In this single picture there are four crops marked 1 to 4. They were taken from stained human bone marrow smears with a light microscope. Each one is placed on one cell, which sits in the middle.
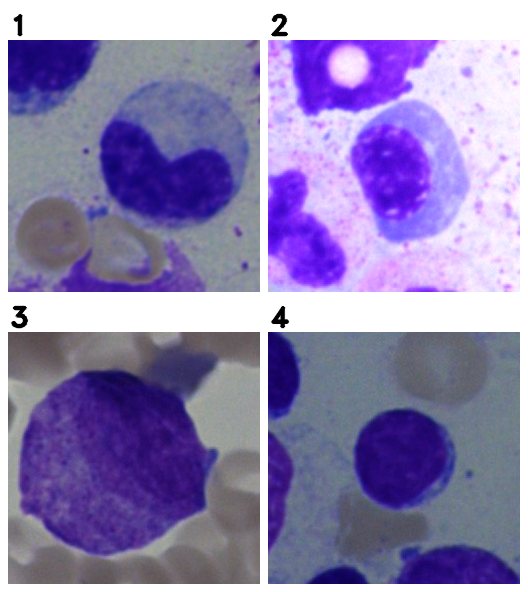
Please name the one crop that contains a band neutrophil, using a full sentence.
Among the crops, only crop 1 contains a band neutrophil.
